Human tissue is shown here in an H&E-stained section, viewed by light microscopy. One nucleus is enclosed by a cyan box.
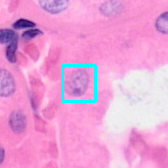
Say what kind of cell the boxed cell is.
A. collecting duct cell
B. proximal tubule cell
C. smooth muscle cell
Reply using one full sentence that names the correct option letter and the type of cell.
In keeping with option B, the boxed cell is a proximal tubule cell.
